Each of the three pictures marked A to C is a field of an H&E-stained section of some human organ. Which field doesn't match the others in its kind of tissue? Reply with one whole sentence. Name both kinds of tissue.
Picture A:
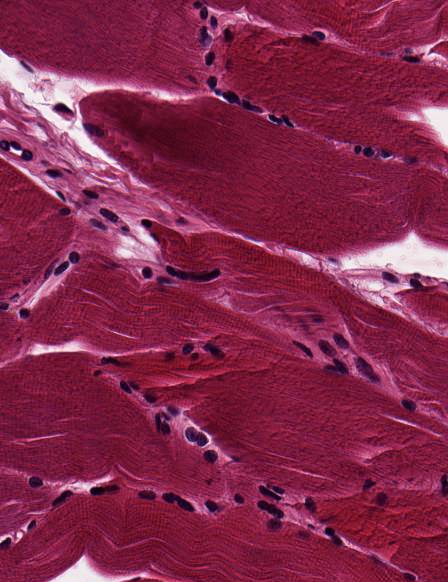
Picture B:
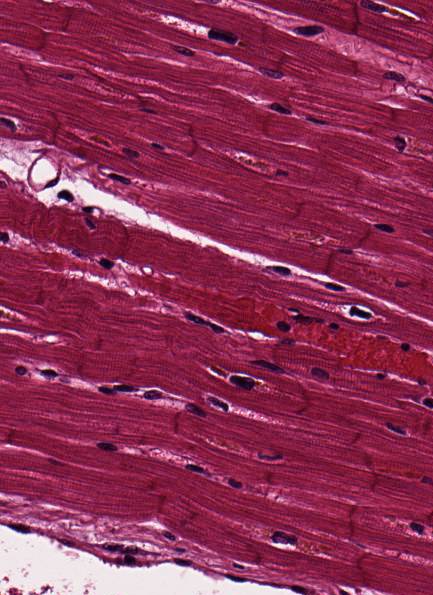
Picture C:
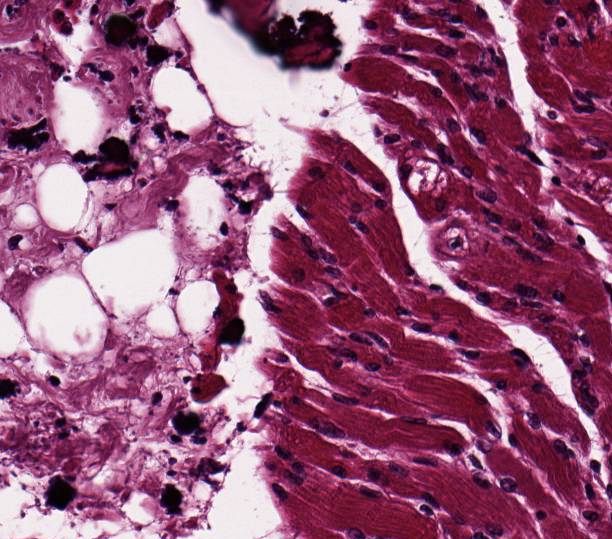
Picture B is the odd one out: it mainly shows cardiac muscle, while the others mainly show skeletal muscle.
